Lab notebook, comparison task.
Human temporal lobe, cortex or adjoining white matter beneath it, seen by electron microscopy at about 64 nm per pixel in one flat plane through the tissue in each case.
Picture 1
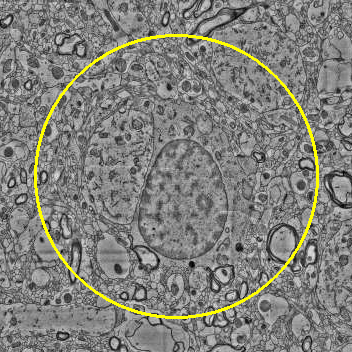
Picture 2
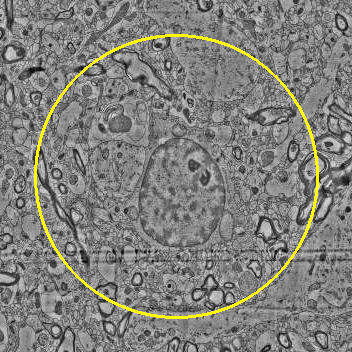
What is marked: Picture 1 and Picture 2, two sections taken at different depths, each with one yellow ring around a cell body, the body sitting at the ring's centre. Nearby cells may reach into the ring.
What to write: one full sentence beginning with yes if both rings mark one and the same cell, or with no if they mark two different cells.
Yes, the cell marked in each ring is one and the same.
